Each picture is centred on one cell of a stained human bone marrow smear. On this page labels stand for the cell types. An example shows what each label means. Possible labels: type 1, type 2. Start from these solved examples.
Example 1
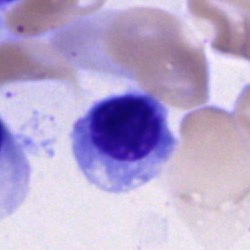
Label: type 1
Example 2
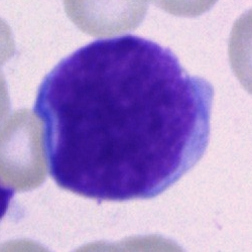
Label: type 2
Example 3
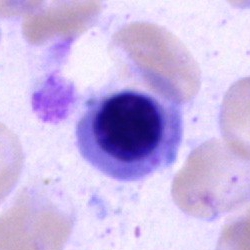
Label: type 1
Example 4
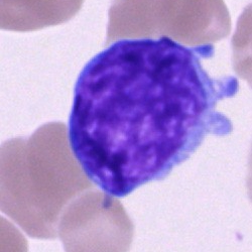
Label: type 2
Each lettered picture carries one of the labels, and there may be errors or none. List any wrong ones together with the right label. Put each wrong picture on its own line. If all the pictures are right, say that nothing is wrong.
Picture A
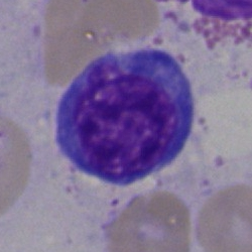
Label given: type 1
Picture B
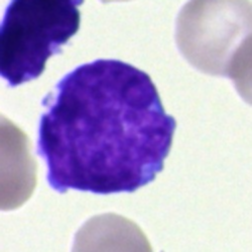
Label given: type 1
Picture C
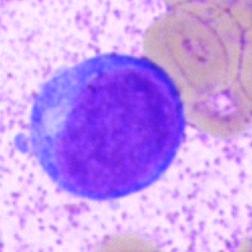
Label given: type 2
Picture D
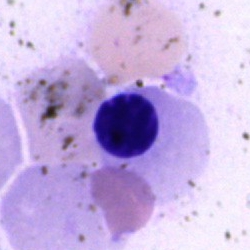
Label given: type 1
B should be type 2, not type 1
